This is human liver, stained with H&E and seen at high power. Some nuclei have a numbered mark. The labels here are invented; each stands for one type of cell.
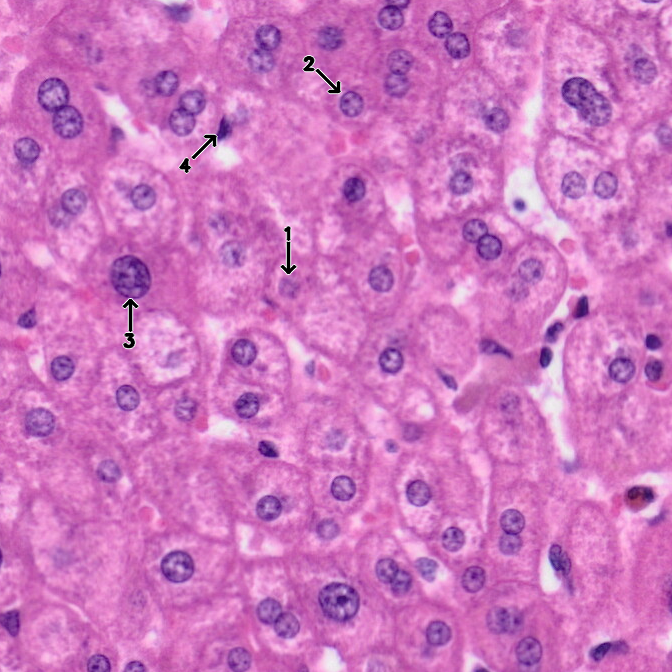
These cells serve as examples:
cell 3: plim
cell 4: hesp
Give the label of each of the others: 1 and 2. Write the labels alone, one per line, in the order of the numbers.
plim
plim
